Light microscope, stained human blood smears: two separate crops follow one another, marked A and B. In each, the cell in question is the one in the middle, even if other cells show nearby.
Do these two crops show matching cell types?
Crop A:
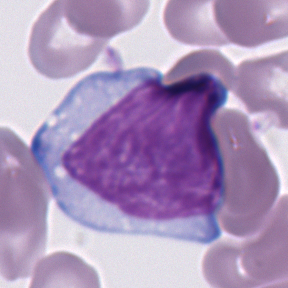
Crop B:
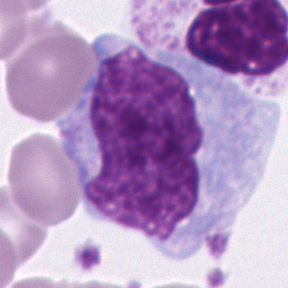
no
